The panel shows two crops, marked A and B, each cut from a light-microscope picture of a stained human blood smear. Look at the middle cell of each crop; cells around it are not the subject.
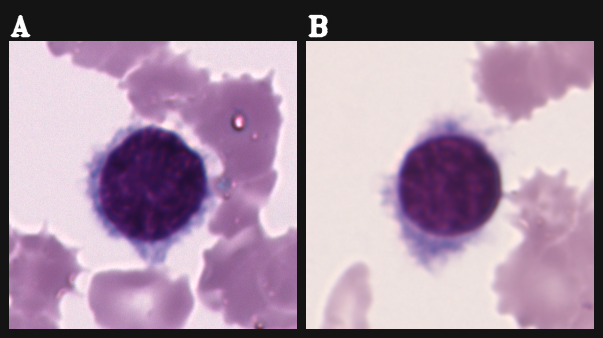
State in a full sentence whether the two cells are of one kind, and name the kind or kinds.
Yes, put down hairy cells for both crops.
